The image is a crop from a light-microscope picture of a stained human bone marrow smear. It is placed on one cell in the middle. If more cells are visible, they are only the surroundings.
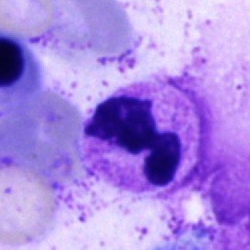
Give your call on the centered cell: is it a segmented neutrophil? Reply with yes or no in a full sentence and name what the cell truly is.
Yes, the cell in the central position is a segmented neutrophil.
